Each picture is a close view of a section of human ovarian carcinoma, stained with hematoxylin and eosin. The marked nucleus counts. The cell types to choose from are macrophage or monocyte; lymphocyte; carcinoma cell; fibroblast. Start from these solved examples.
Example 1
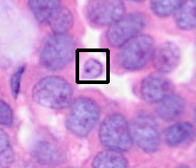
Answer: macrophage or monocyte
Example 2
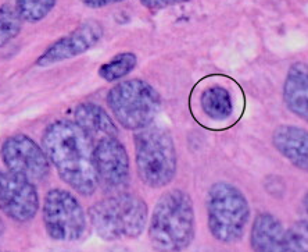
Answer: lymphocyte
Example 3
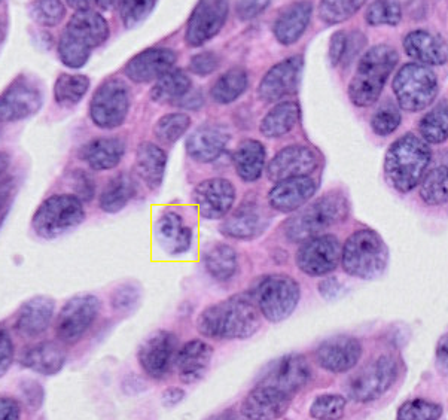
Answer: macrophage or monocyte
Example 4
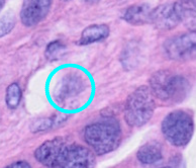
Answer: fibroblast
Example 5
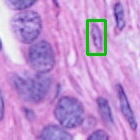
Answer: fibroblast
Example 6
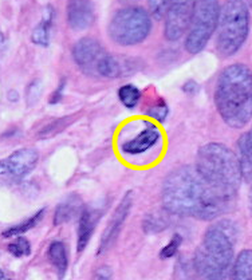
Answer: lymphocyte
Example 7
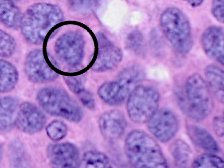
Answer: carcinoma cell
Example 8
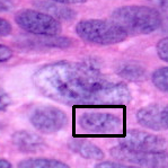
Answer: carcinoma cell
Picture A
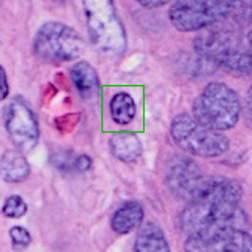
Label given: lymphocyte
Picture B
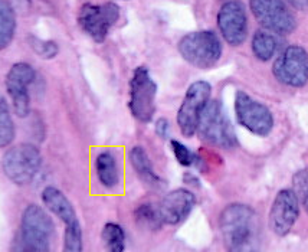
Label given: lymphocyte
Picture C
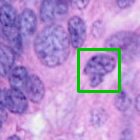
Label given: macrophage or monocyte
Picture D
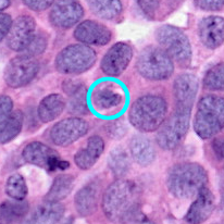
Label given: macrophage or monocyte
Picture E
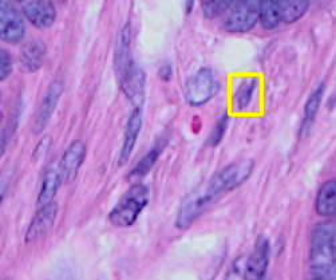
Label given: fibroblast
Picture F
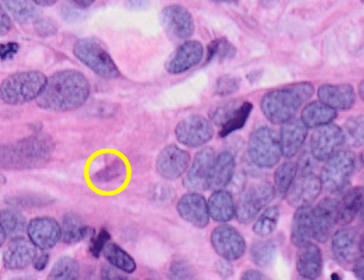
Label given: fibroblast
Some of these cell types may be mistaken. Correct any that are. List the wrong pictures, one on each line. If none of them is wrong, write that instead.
All correct.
